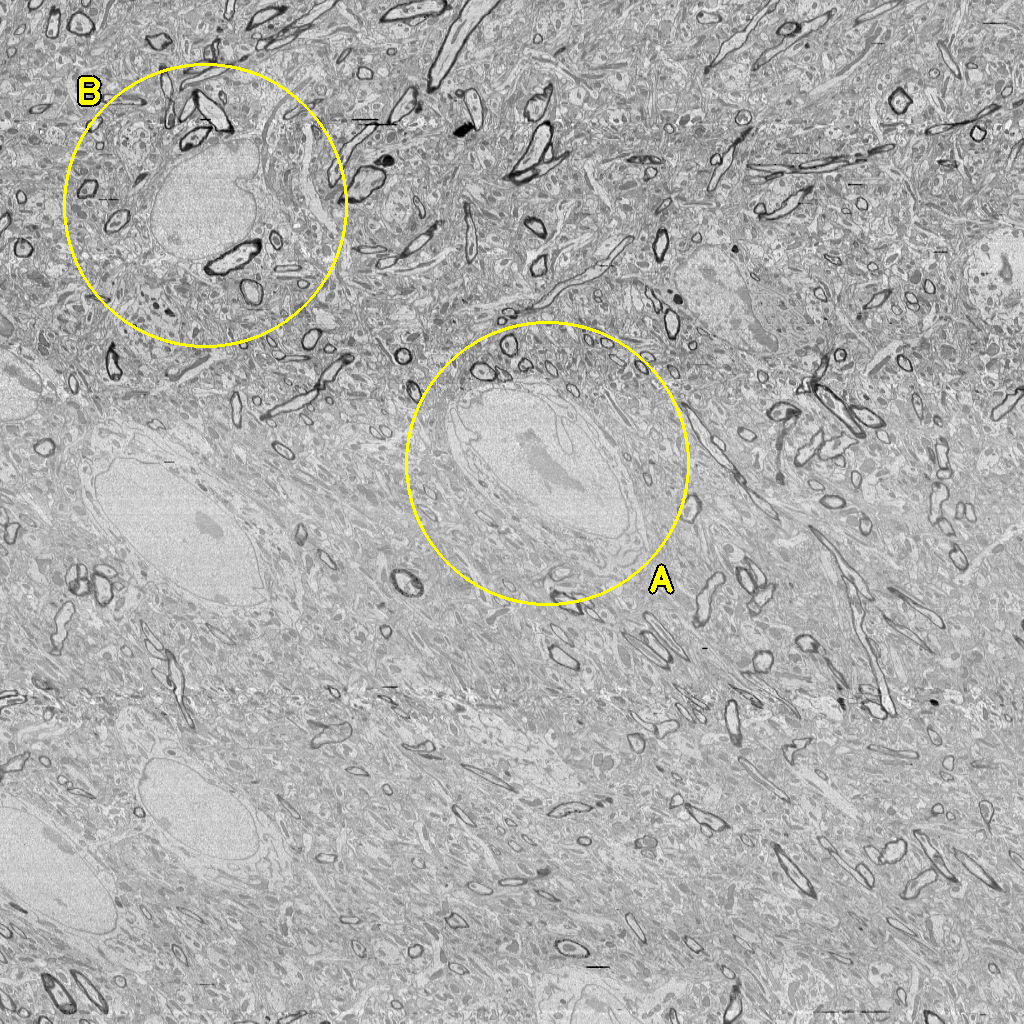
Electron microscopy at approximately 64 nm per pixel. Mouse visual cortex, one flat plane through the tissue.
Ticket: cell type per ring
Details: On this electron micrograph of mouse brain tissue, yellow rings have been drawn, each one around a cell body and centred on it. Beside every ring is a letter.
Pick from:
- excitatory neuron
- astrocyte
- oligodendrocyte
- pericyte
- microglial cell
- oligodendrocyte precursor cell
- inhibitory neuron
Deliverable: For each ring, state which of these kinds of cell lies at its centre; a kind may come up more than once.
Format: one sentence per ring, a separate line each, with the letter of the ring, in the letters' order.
The cell body ringed as A belongs to an inhibitory neuron.
The cell body ringed as B belongs to an astrocyte.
